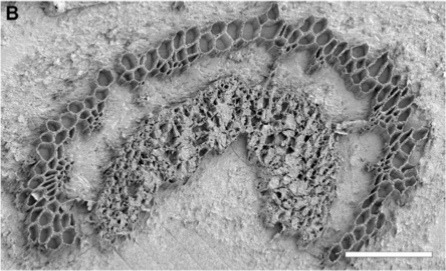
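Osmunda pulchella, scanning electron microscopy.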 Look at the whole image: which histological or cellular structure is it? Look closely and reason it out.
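A C-shaped arc of tissue cut in cross-section. The arc is made of polygonal, empty, thick-walled cells packed like honeycomb.
Hence: vascular strand.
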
